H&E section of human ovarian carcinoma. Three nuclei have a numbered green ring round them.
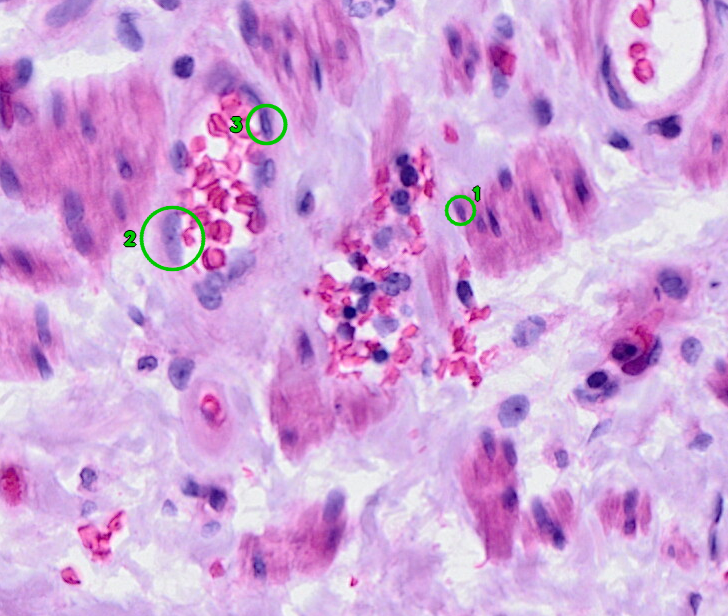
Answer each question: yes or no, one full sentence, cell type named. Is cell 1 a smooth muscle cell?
Yes, regarding number 1, the cell is a smooth muscle cell.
